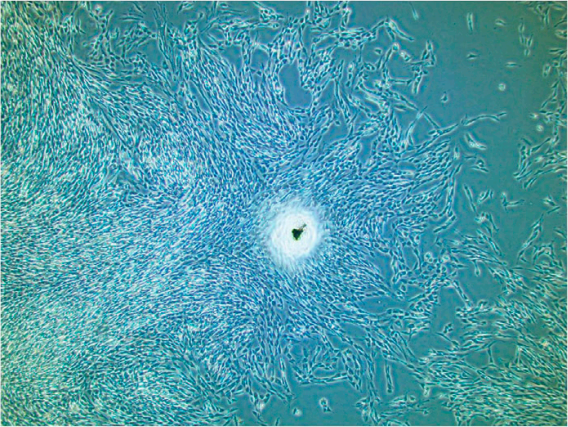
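The dark fragment at the centre is surrounded by a bright halo. Around it, many slender, spindle-shaped cells spread out in every direction, like rays. Near the fragment the cells are crowded and lie closely packed, roughly parallel to one another in streams.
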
